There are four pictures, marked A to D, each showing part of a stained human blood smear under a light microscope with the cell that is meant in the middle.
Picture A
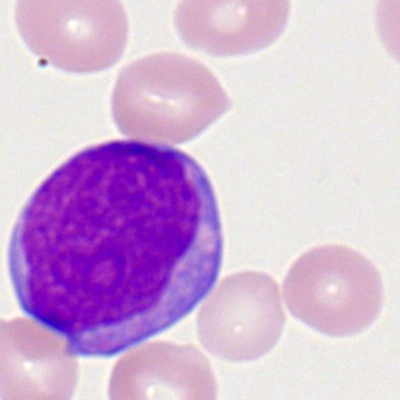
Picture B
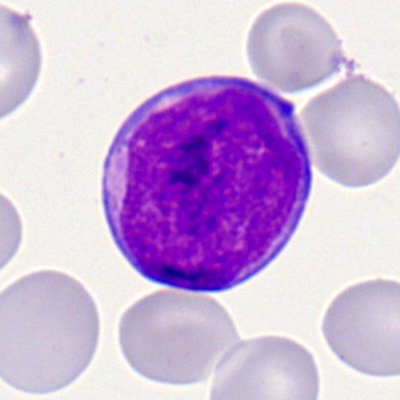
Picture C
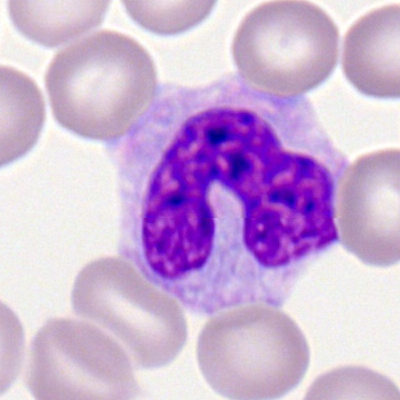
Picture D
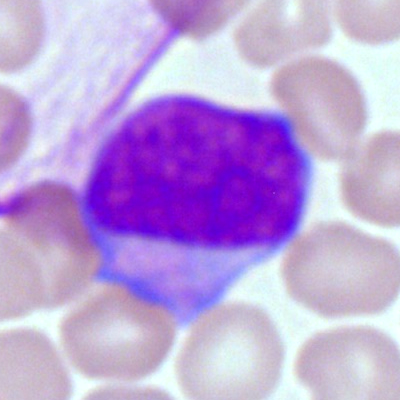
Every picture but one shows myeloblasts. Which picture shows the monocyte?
C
